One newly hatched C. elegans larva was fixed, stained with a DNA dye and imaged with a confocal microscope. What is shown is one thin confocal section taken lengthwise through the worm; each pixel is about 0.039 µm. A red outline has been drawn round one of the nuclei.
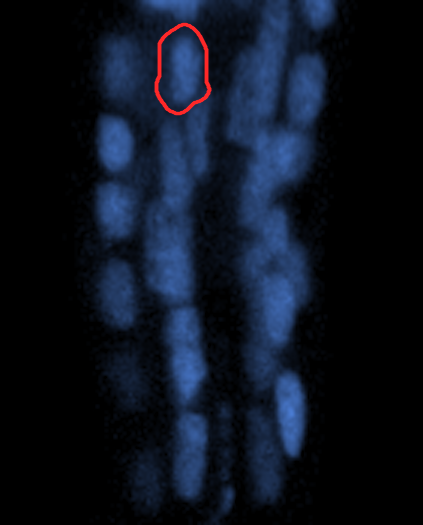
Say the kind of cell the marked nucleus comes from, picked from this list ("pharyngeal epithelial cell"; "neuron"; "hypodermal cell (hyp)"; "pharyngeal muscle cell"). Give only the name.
neuron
